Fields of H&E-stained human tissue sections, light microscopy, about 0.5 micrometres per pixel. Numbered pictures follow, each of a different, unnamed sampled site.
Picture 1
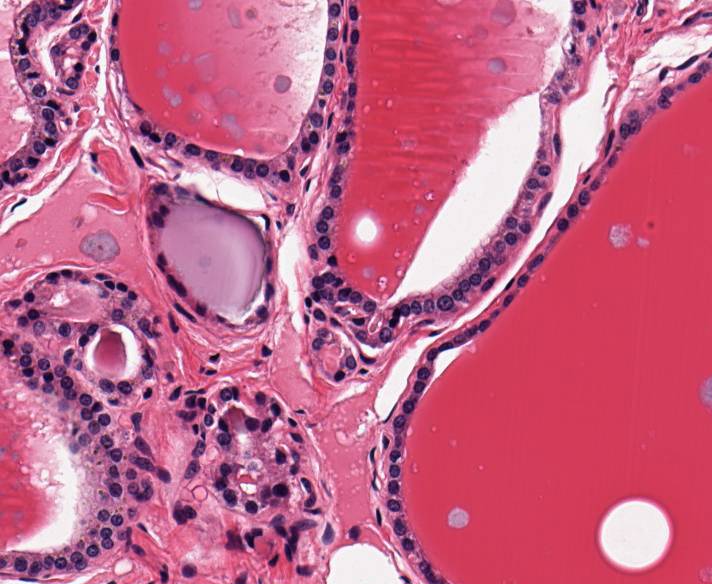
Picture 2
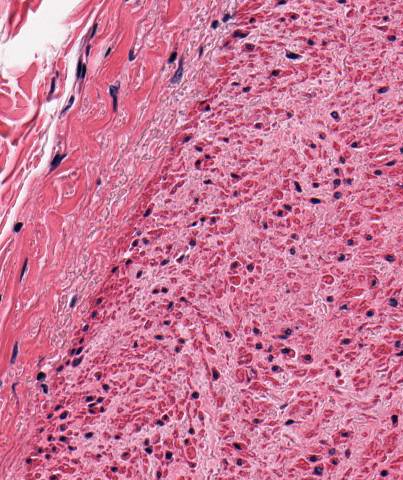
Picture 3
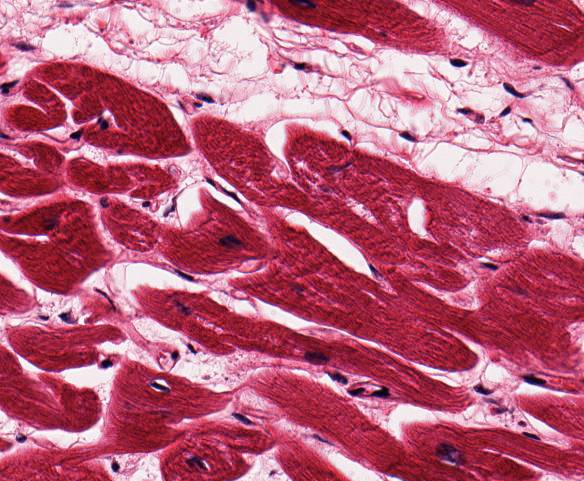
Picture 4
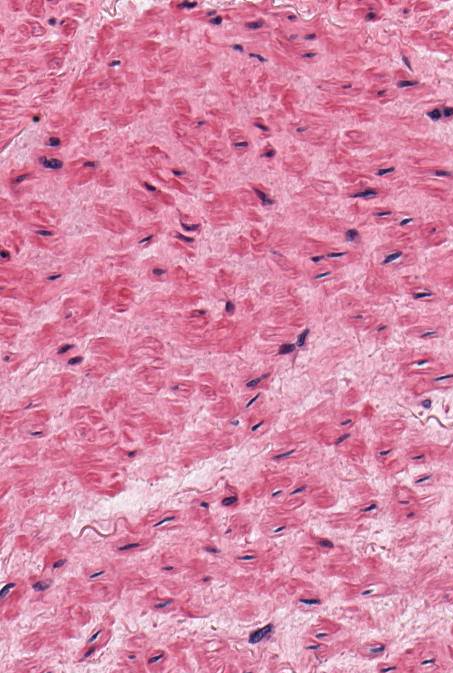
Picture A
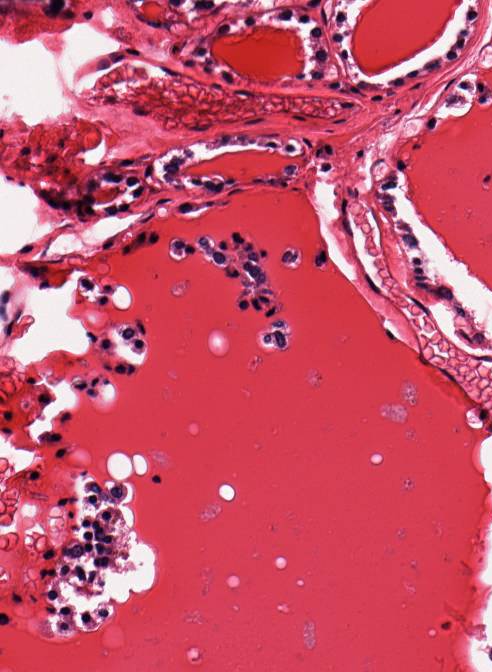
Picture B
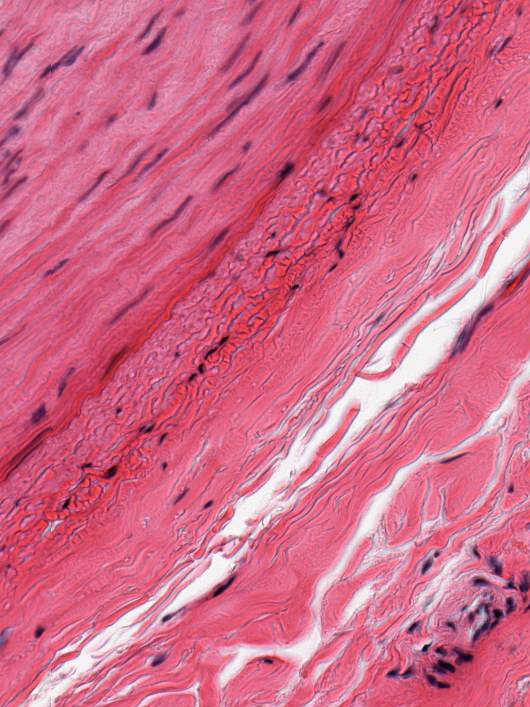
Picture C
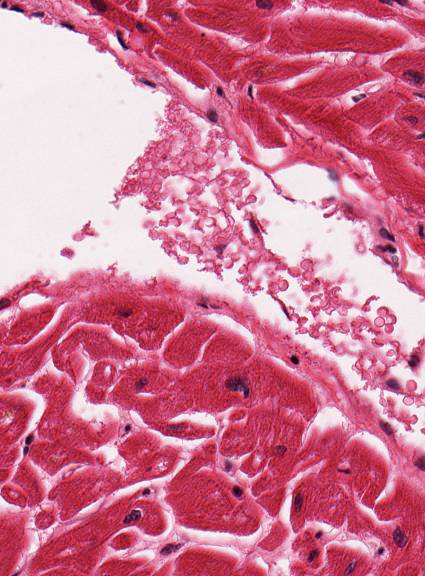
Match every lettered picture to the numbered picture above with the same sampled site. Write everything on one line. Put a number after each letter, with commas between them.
A 1, B 4, C 3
